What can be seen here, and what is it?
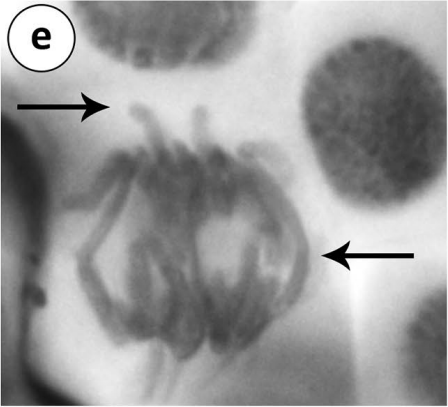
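Here a dividing cell is seen in anaphase, with its long, rod-shaped chromosomes pulled into two groups. Between the two groups several chromosome strands remain stretched across the middle, forming a bridge that joins the two sides. At the top one chromosome lies somewhat apart from the others, as if wandering outside the orderly groups. Around the dividing cell, neighbouring cells show round, darkly stippled nuclei at rest.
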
